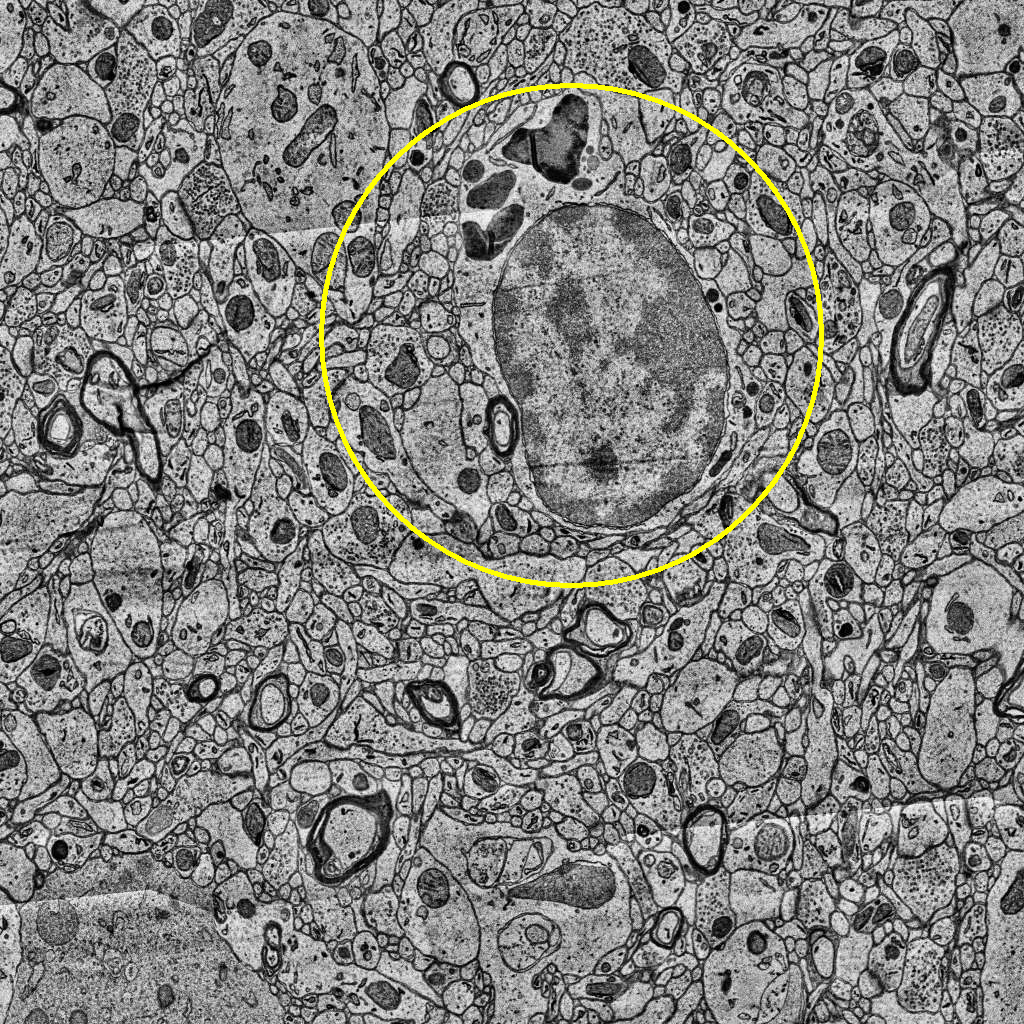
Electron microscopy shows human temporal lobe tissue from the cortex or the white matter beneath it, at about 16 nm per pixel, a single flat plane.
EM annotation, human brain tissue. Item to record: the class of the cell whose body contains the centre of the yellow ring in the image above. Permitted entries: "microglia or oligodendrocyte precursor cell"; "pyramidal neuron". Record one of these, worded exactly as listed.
microglia or oligodendrocyte precursor cell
